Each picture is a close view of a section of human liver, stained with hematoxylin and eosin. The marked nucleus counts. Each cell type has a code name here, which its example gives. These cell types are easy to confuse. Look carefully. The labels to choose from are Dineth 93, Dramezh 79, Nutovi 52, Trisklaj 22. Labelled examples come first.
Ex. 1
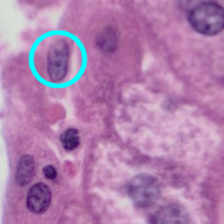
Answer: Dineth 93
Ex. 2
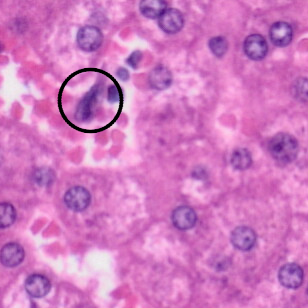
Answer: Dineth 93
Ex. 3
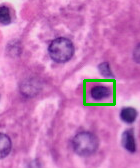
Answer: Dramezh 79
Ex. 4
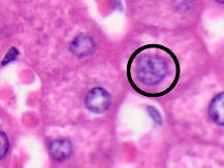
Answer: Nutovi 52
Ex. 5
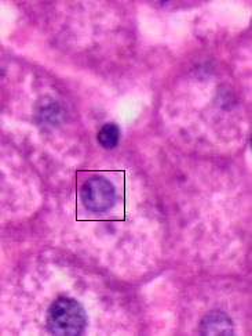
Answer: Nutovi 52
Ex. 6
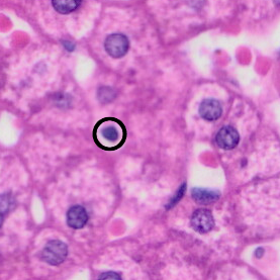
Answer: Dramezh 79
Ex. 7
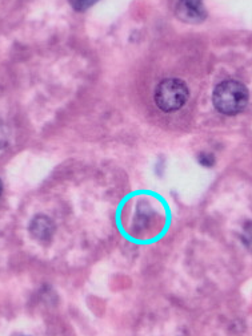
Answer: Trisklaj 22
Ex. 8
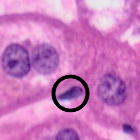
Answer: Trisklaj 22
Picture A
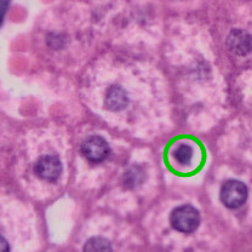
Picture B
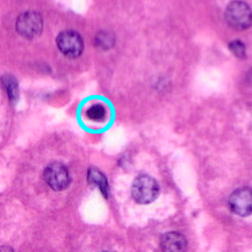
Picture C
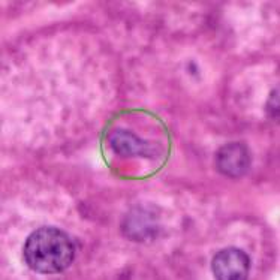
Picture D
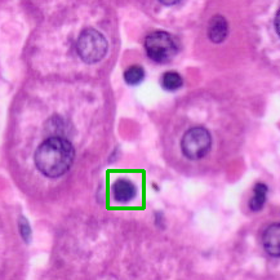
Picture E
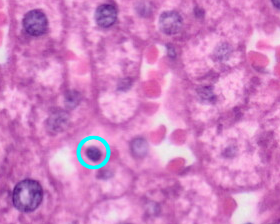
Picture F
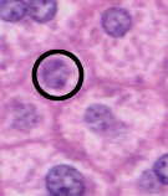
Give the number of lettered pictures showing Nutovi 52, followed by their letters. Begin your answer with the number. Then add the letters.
Count: 1 (F)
